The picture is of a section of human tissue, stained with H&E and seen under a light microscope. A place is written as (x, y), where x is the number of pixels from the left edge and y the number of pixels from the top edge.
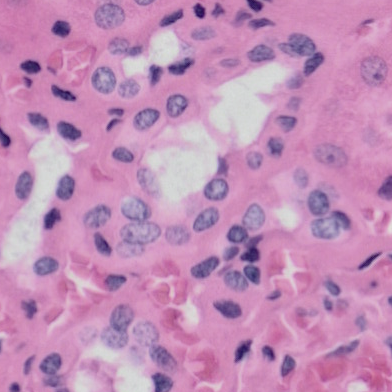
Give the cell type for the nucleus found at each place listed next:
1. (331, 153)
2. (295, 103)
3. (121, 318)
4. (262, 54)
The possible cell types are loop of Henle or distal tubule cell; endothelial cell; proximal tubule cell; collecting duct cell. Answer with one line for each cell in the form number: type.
1: proximal tubule cell
2: collecting duct cell
3: collecting duct cell
4: collecting duct cell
